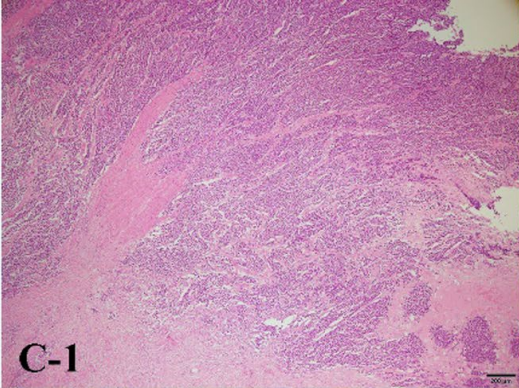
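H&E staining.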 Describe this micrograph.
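At low power a dense, deeply purple cellular tumour fills most of the field, cut by bands of paler pink fibrous tissue. In places the cells run in streaming strands and cords rather than solid sheets.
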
